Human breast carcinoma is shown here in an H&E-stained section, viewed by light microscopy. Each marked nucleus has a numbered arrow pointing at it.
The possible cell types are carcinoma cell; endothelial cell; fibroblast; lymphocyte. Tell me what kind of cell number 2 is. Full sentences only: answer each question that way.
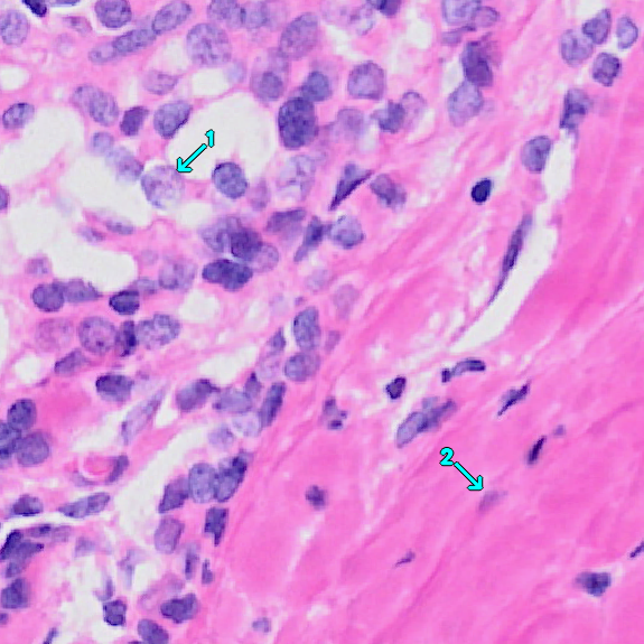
Recognised here as a fibroblast is the cell numbered 2.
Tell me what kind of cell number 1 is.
Among the marked cells, number 1 is a carcinoma cell.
